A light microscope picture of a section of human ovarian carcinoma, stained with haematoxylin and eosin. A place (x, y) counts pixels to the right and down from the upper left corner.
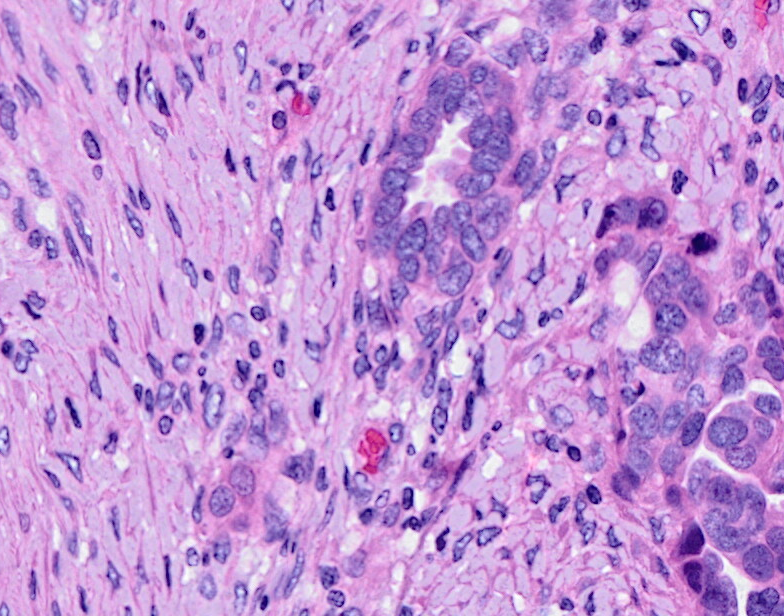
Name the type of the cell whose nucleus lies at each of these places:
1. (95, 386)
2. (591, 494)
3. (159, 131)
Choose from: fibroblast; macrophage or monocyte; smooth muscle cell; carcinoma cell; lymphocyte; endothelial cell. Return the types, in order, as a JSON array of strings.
["fibroblast", "lymphocyte", "fibroblast"]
